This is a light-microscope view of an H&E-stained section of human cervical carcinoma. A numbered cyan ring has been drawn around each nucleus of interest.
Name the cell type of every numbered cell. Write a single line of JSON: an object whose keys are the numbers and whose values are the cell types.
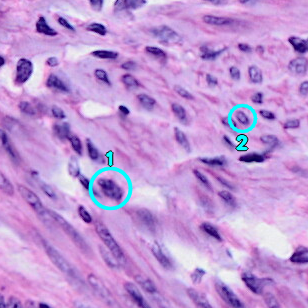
{"1": "lymphocyte", "2": "smooth muscle cell"}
